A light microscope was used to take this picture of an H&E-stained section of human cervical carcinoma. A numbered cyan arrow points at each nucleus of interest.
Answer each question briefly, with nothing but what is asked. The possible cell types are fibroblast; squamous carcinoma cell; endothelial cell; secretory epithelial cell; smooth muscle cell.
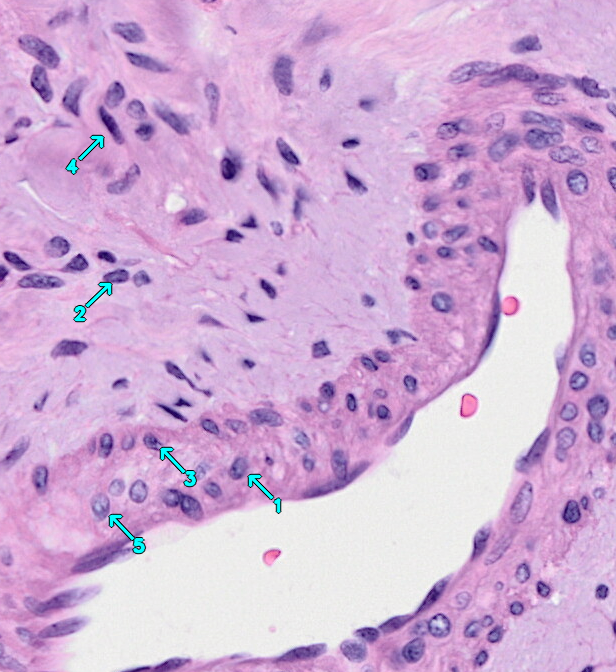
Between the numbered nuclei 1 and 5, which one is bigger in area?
5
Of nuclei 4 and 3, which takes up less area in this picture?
3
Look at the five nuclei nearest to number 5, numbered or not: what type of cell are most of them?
smooth muscle cell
